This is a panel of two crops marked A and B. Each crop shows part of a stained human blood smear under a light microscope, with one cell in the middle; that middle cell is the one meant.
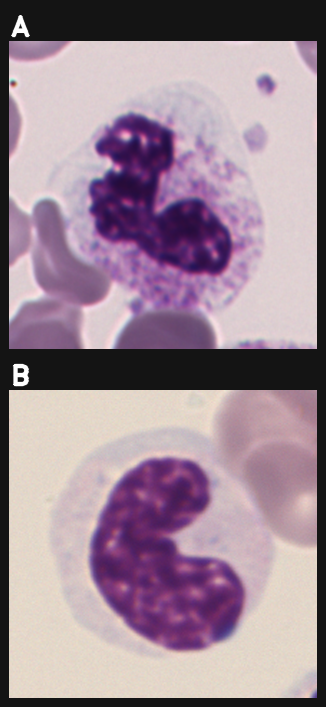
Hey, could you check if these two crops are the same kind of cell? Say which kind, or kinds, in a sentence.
Yes, both crops show band neutrophils, and the two match.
